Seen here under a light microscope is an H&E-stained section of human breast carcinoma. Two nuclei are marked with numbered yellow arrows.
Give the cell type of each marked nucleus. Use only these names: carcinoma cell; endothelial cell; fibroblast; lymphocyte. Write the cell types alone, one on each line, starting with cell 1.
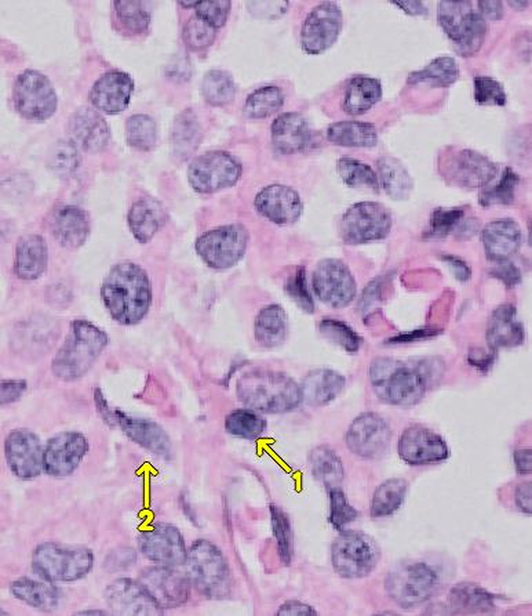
lymphocyte
endothelial cell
